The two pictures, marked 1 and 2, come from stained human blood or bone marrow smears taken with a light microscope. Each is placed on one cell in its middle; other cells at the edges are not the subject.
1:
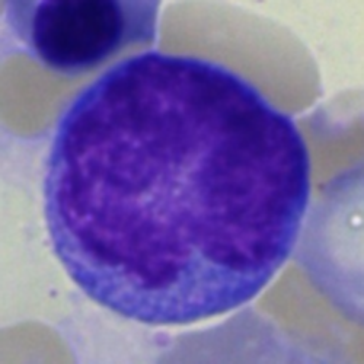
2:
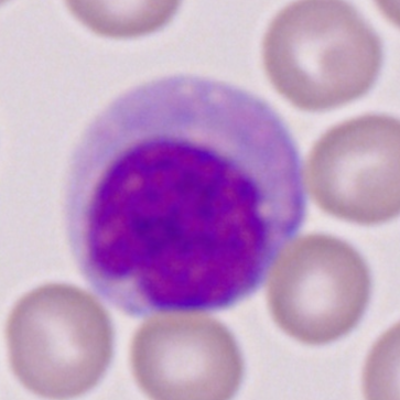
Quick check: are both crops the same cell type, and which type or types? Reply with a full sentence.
Yes, both crops show monocytes at their middles.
